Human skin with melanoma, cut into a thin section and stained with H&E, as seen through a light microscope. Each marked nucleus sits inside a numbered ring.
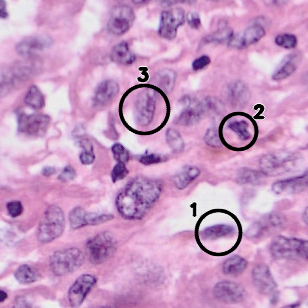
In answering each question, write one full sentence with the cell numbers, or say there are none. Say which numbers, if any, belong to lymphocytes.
None but cell 2 among the numbered cells is a lymphocyte.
